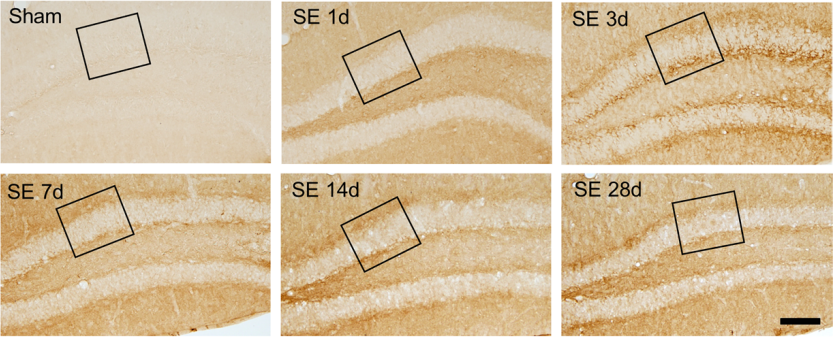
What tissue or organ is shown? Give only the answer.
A: Dentate gyrus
